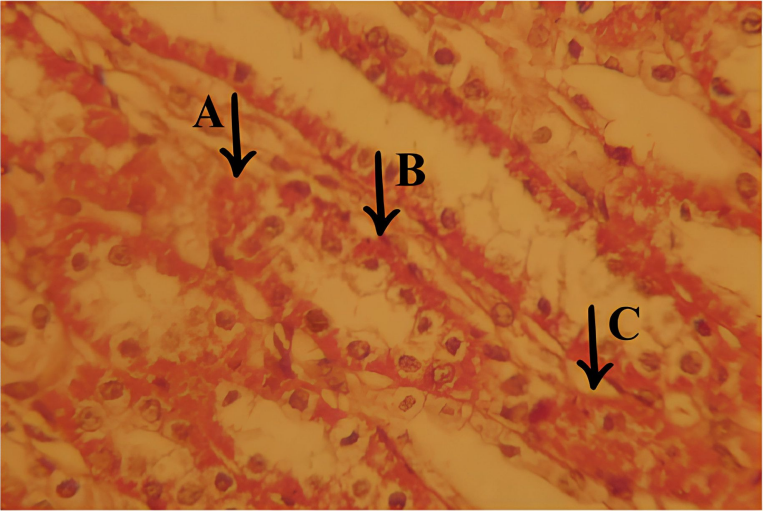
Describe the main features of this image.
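This is a section of liver in which the cells show marked vacuolization of their cytoplasm. The cells stand in rows along long, pale, empty-looking spaces that run diagonally across the field. Between the rows of cells the tissue is loosely arranged, with thin pink strands separating the pale spaces.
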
